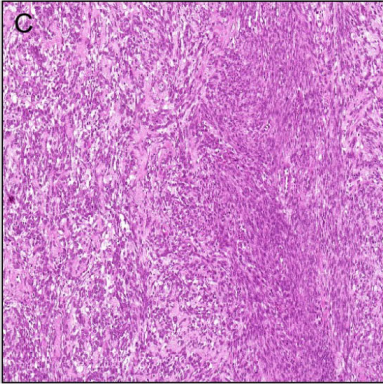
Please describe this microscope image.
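This tumor is made of spindle to epithelioid cells with oval to elongated purple nuclei. In places they run in long streaming fascicles, while elsewhere they lie haphazardly. The background stroma varies from pale and loose to pink and collagenous.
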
